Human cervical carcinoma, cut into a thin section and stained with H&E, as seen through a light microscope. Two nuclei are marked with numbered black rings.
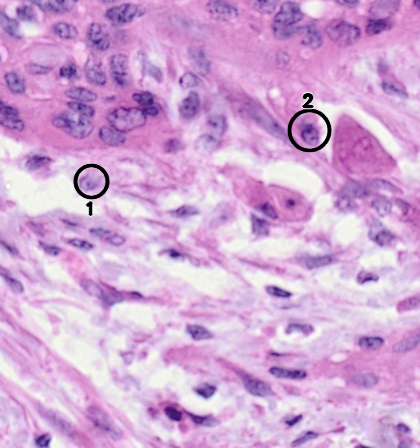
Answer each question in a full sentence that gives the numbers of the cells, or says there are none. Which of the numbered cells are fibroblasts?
Of the cells marked with numbers, cell 1 is the only one that is a fibroblast.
